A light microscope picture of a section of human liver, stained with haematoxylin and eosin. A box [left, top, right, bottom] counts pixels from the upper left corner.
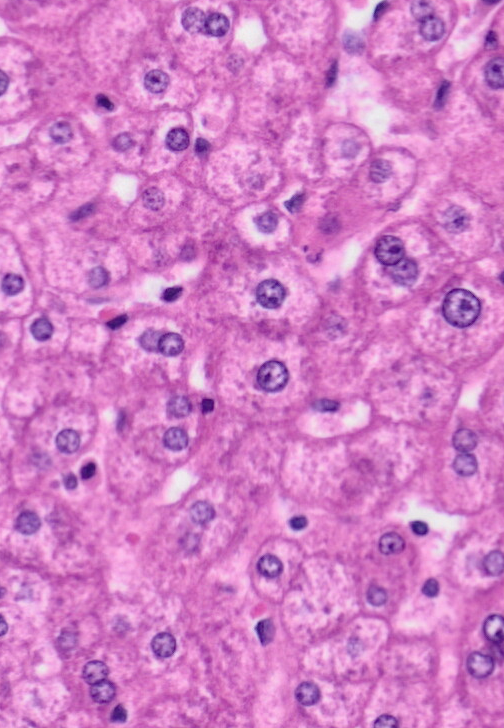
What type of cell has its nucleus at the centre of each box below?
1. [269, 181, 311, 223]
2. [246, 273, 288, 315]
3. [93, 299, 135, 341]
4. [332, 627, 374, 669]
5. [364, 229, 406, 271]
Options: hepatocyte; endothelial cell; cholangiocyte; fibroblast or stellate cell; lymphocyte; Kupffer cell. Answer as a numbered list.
1. endothelial cell
2. hepatocyte
3. fibroblast or stellate cell
4. hepatocyte
5. hepatocyte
